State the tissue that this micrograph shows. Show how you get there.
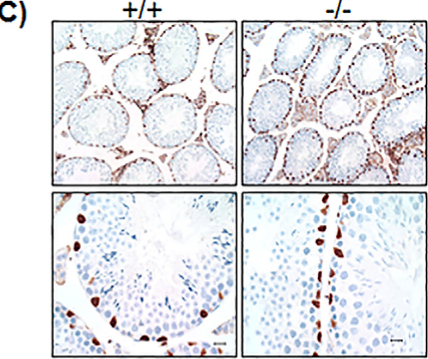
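Testes. Round tubules in cross-section are packed closely, with loose tissue between them. Each tubule has many layers of cells around a central lumen.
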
